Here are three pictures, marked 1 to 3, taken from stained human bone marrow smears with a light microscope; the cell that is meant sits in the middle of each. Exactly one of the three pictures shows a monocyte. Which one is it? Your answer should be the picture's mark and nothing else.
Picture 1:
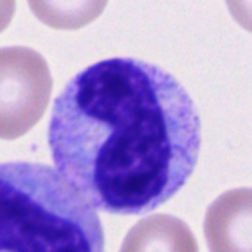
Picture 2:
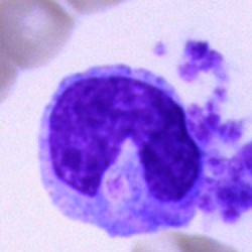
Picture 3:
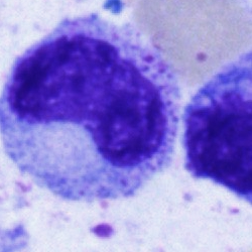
2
